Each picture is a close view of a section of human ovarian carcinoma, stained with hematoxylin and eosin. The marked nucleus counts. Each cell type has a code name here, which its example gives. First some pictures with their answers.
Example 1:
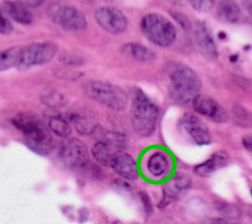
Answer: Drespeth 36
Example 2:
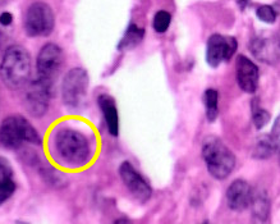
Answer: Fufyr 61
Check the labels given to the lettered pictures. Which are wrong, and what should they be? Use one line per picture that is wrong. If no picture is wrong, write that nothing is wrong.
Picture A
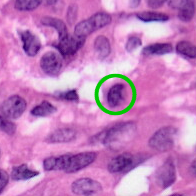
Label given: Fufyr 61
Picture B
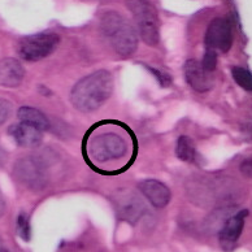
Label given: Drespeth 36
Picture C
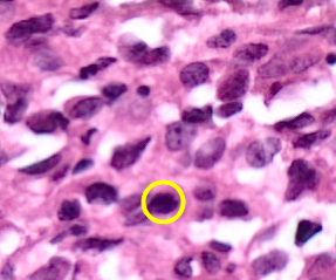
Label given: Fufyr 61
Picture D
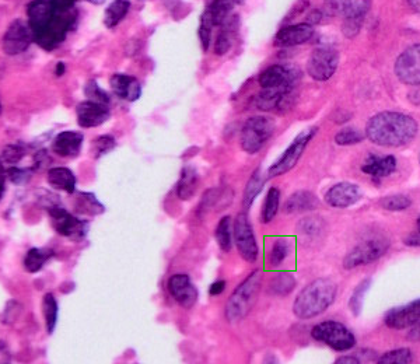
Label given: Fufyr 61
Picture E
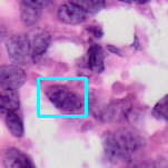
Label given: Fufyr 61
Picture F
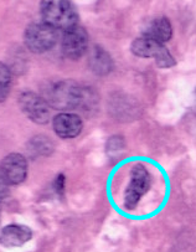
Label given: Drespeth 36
A: change Fufyr 61 to Drespeth 36
B: change Drespeth 36 to Fufyr 61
